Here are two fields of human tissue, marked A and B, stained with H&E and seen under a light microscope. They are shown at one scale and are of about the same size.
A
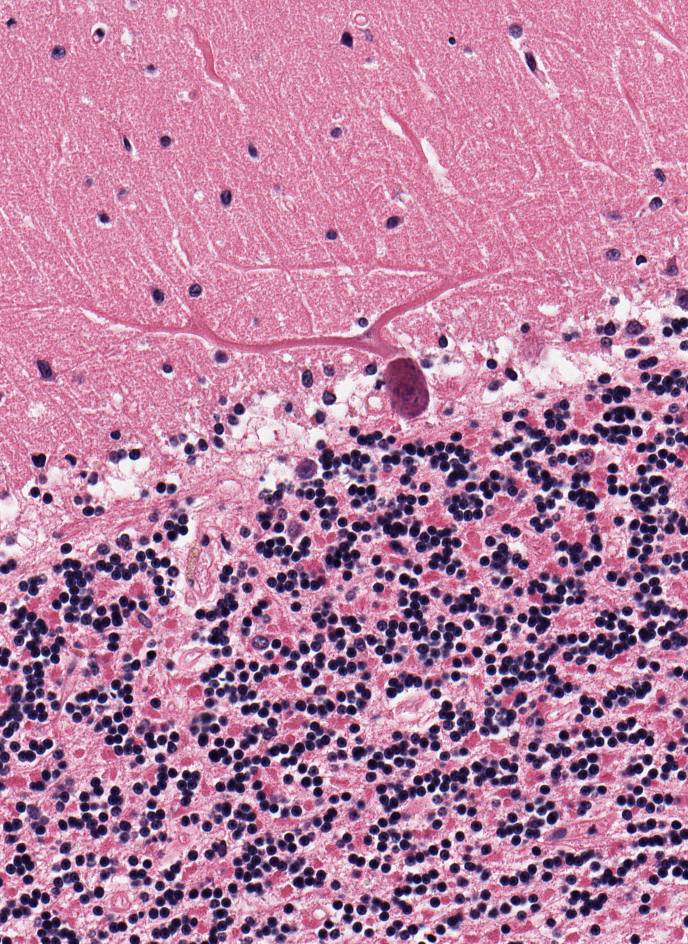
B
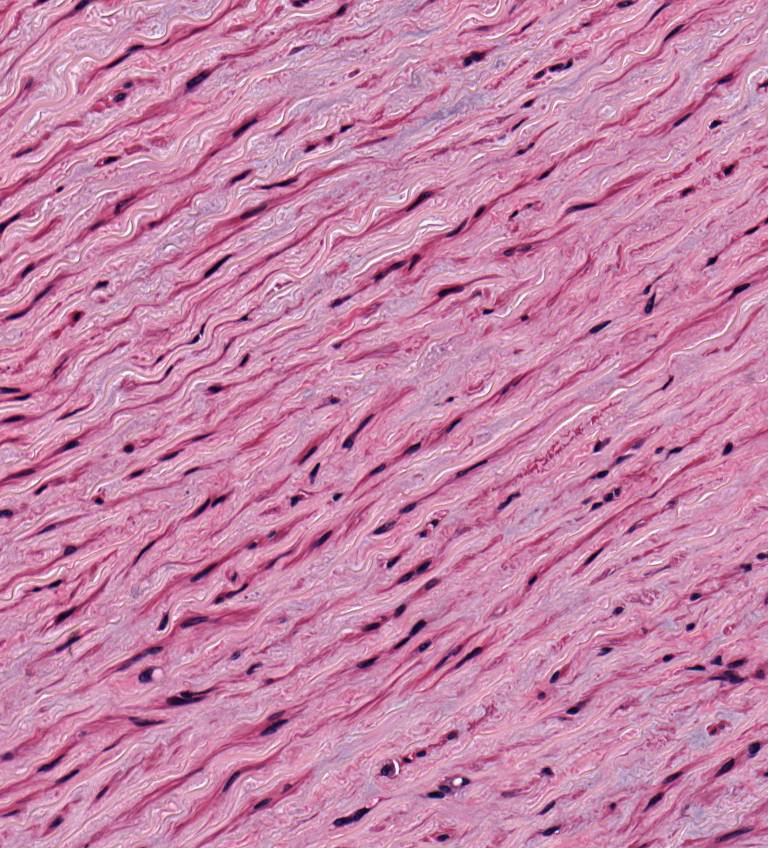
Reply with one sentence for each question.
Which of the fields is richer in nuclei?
There are more nuclei in field A.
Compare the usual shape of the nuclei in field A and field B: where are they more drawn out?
Longer, more slender nuclei lie in field B.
